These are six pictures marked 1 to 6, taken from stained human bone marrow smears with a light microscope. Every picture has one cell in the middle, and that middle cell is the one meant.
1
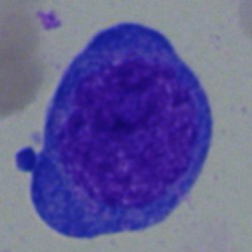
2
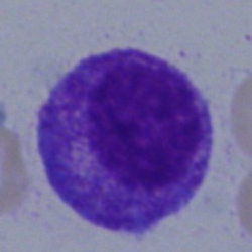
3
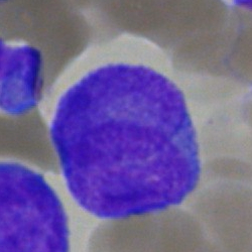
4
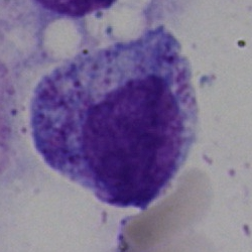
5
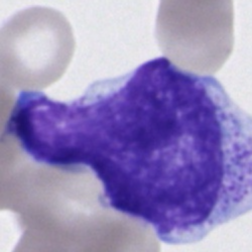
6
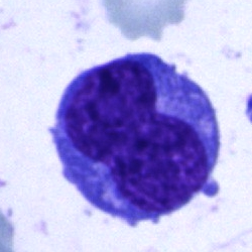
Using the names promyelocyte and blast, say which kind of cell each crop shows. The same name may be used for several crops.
1: blast
2: promyelocyte
3: blast
4: promyelocyte
5: promyelocyte
6: blast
